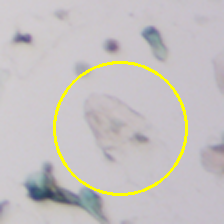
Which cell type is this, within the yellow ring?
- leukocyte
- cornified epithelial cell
Within the ring is a cornified epithelial cell.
